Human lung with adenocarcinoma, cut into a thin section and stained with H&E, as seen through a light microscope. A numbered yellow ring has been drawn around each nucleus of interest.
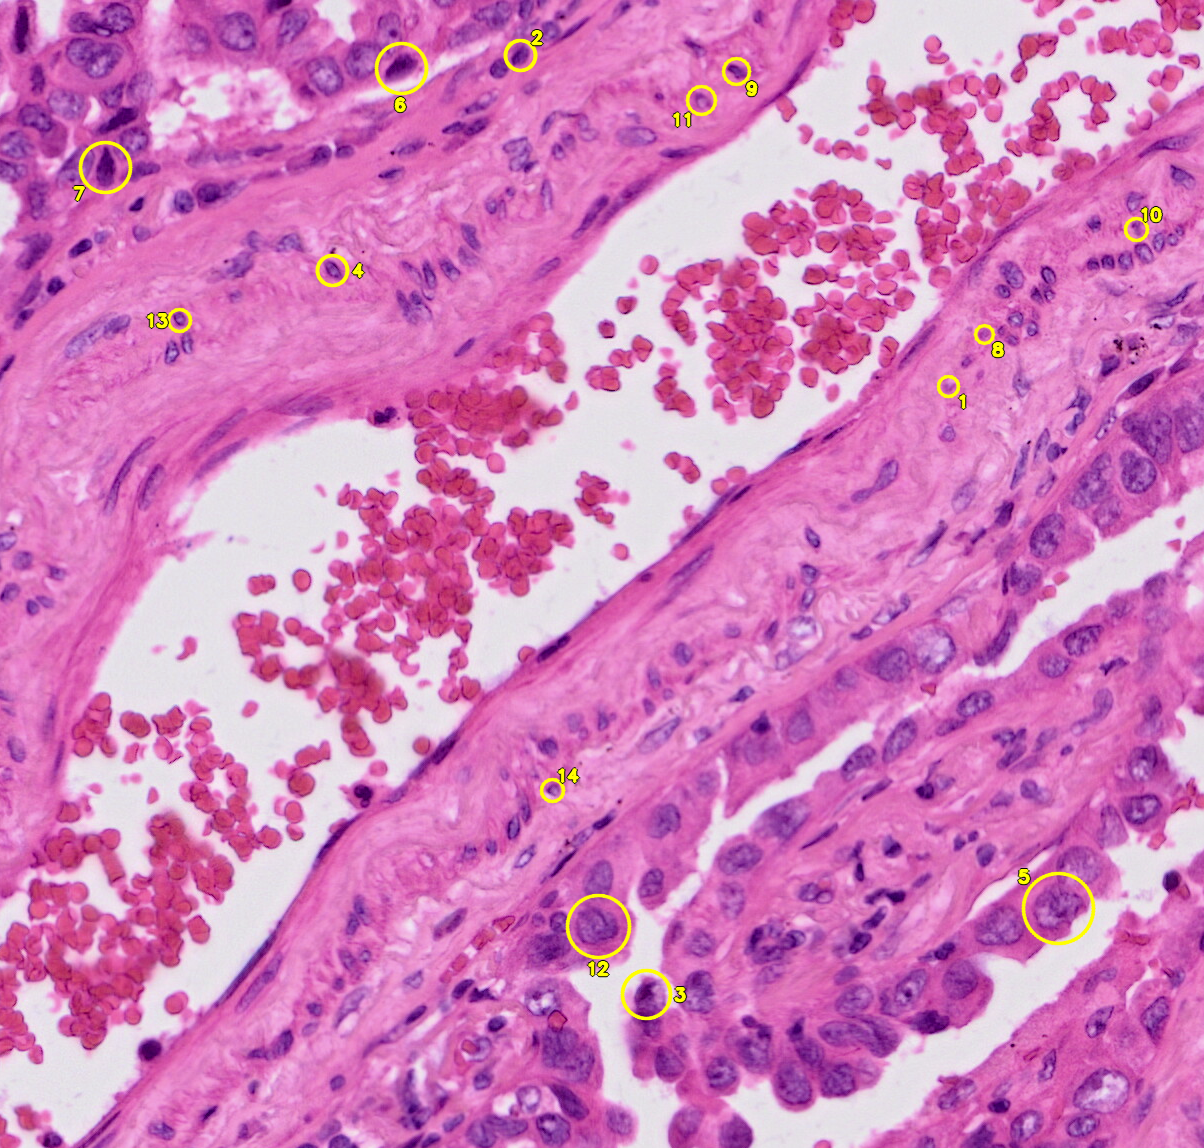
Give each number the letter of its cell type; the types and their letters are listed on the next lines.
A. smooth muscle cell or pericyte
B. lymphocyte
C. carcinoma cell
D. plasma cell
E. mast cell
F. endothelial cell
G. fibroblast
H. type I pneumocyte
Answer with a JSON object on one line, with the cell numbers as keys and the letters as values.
{"1": "A", "2": "B", "3": "C", "4": "A", "5": "C", "6": "C", "7": "C", "8": "A", "9": "A", "10": "A", "11": "A", "12": "C", "13": "A", "14": "A"}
